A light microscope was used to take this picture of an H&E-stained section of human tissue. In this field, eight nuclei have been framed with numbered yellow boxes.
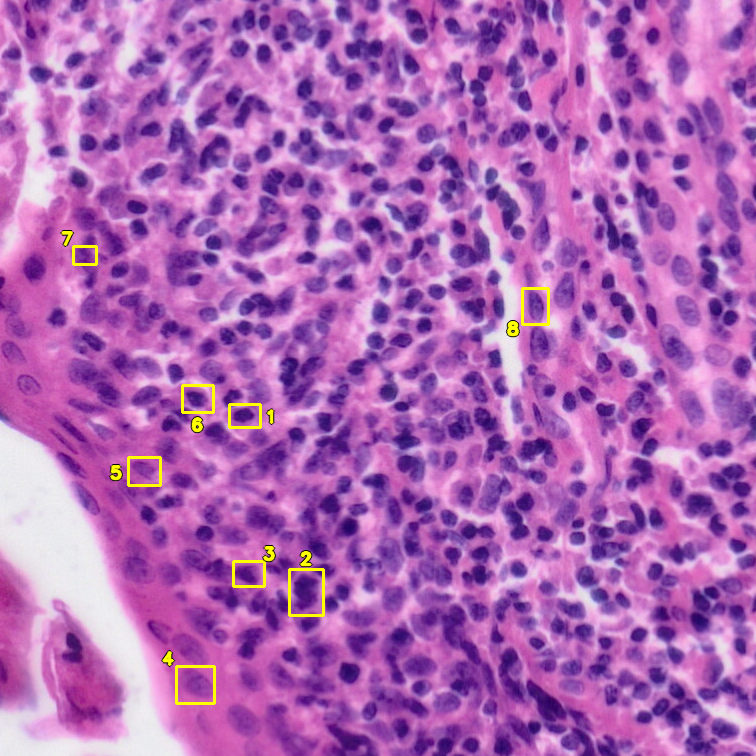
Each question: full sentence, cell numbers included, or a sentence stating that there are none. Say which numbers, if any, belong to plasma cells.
The cells with numbers 1 and 6 are plasma cells by type.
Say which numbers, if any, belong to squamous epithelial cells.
The cells labelled 2, 3, 4, 5 and 7 in this section are squamous epithelial cells.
